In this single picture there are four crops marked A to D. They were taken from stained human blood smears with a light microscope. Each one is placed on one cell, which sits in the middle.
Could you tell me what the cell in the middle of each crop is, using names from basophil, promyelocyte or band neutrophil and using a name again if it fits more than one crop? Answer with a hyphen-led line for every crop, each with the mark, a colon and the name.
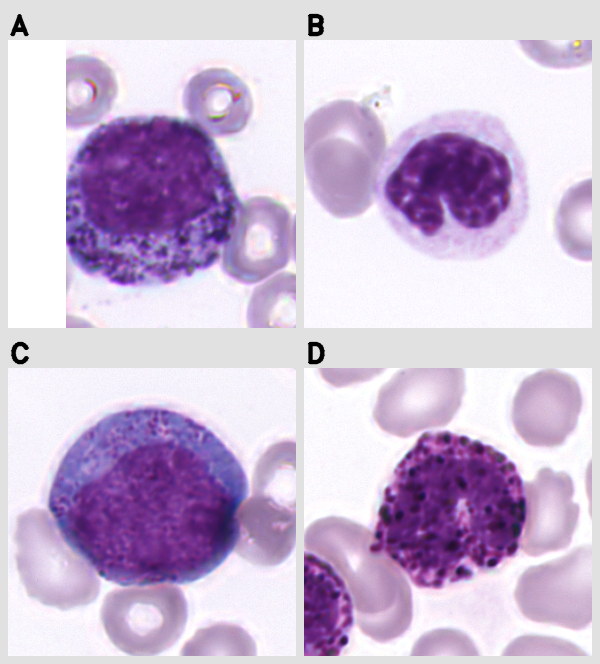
- A: promyelocyte
- B: band neutrophil
- C: promyelocyte
- D: basophil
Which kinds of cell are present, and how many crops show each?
promyelocyte: 2
band neutrophil: 1
basophil: 1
